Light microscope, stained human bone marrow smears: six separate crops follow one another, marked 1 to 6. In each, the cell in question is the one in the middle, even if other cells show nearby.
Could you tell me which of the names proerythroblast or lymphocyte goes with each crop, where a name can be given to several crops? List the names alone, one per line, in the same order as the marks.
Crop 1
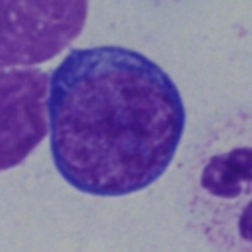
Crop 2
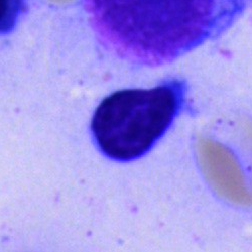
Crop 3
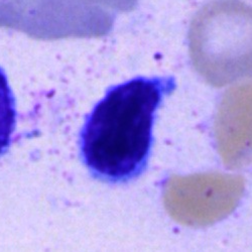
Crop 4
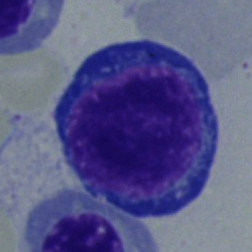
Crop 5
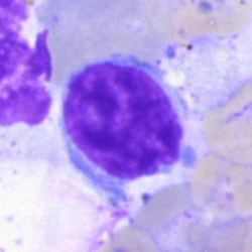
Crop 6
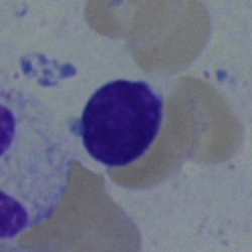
proerythroblast
lymphocyte
lymphocyte
proerythroblast
lymphocyte
lymphocyte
